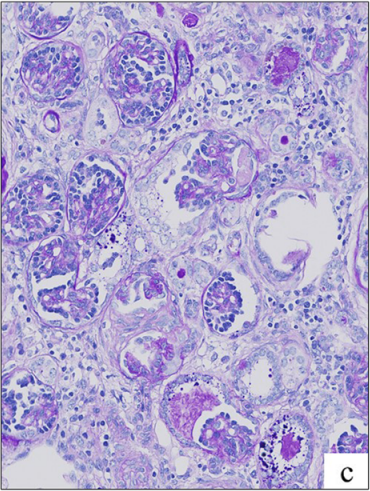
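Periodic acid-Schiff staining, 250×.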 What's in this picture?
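Kidney tissue packed with many small, immature-looking glomeruli, each a compact tuft crowded with dark purple nuclei lying in a round space bounded by a thin magenta capsule. Between them the interstitium is widened, pale and loosely fibrous, with scattered round nuclei, and some tubules are dilated with empty lumina.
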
